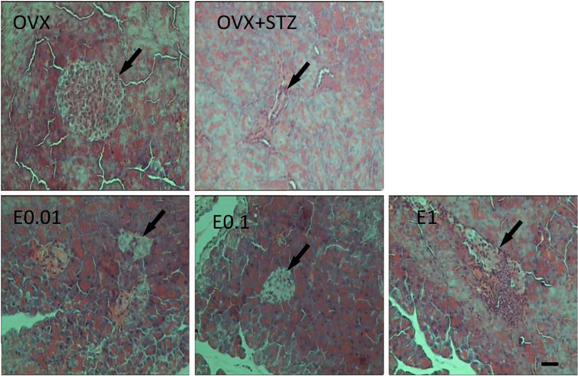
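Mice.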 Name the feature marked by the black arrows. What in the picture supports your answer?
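Islets. One arrowed cluster is a large round nest of small cells clearly set apart from the surrounding tissue.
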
